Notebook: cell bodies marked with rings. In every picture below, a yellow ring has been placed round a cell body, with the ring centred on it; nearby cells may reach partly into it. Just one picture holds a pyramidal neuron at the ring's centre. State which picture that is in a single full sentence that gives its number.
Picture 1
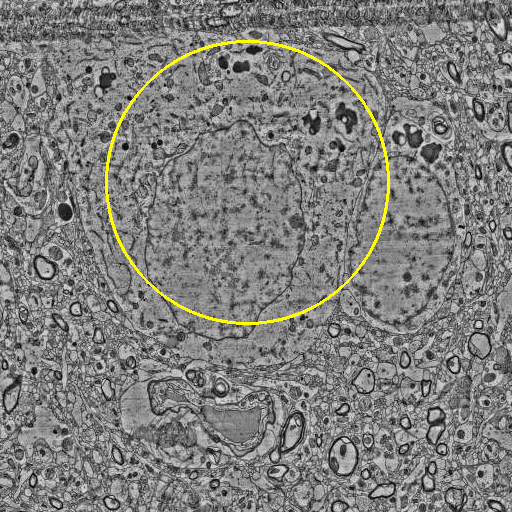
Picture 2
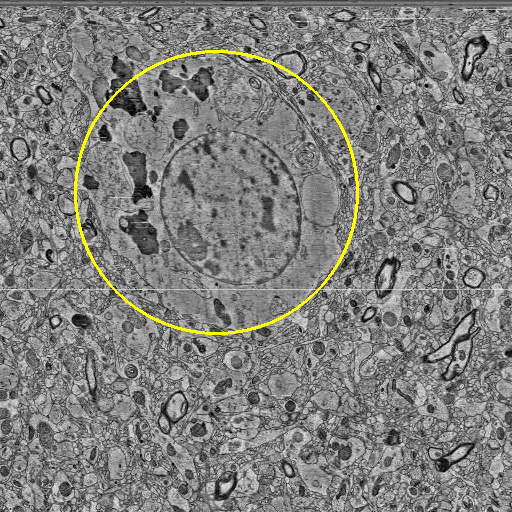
It is picture 1 whose ring has the wanted cell right at its centre.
